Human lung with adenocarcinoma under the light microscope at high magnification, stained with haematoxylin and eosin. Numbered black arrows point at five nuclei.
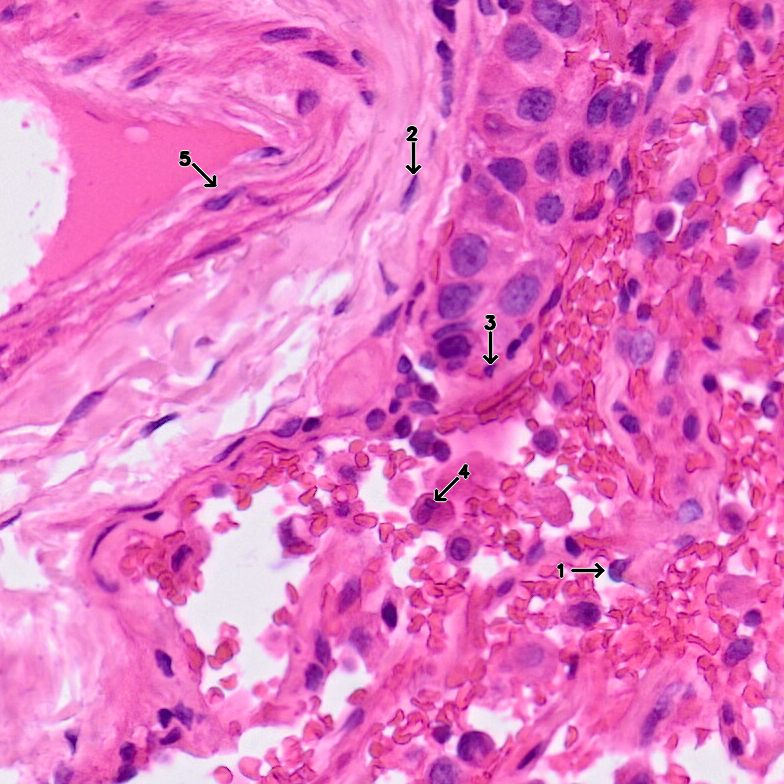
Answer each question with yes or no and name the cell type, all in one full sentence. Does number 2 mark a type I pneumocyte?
No, the cell at number 2 is a fibroblast instead of a type I pneumocyte.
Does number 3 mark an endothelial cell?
Yes, the cell identified as number 3 is an endothelial cell.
